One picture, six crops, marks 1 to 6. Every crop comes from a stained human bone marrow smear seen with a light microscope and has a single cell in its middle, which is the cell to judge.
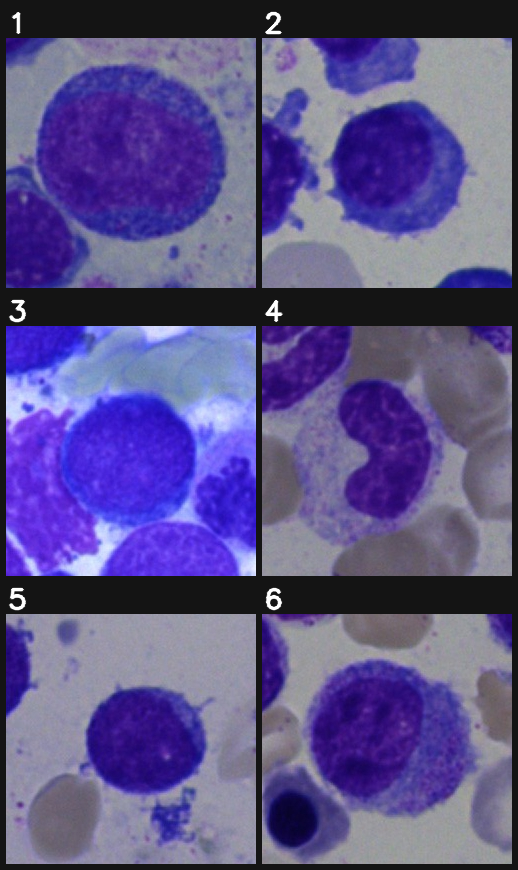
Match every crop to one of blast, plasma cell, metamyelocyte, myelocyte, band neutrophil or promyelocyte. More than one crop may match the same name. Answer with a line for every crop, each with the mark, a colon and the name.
1: blast
2: plasma cell
3: blast
4: band neutrophil
5: blast
6: promyelocyte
